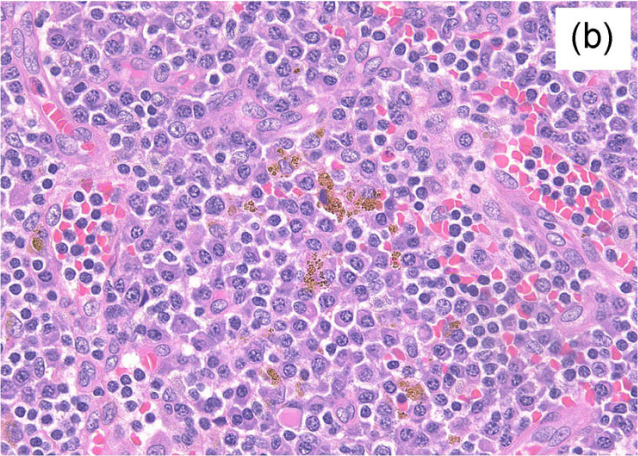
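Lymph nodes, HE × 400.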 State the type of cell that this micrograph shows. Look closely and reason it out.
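Sheets of round to oval cells with eccentric round nuclei. Coarse, clumped chromatin in the nuclei. Moderate amounts of pink-purple cytoplasm around each nucleus. That points to this answer: mature plasma cells.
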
